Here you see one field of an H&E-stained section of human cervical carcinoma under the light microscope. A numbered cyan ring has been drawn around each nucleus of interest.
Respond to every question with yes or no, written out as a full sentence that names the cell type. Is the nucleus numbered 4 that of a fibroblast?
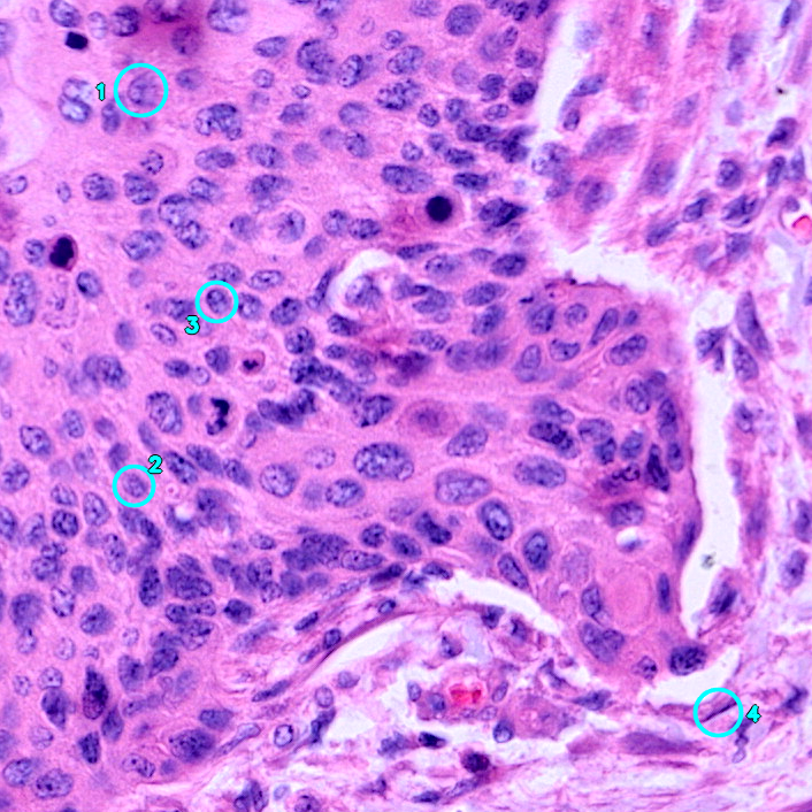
Yes, that one, number 4, is a fibroblast.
